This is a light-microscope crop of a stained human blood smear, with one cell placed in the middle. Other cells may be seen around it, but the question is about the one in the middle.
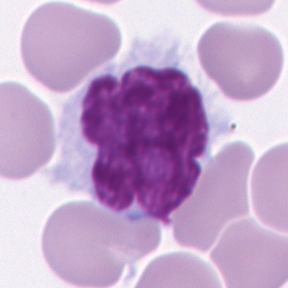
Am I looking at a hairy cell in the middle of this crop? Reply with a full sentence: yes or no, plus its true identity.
Yes, the cell under consideration, the one in the middle, is a hairy cell.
